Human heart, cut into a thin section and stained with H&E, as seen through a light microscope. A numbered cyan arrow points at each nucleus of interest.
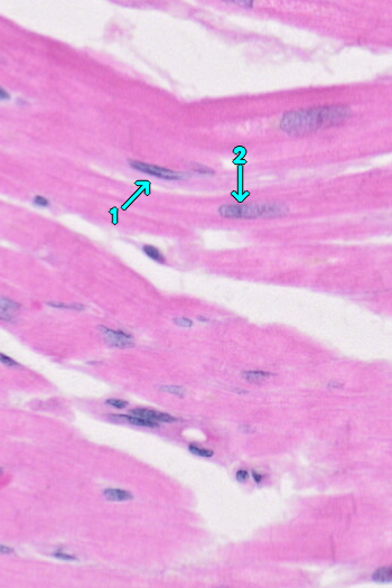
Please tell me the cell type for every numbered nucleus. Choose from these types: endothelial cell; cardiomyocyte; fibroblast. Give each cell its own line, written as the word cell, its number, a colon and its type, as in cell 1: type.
cell 1: endothelial cell
cell 2: cardiomyocyte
